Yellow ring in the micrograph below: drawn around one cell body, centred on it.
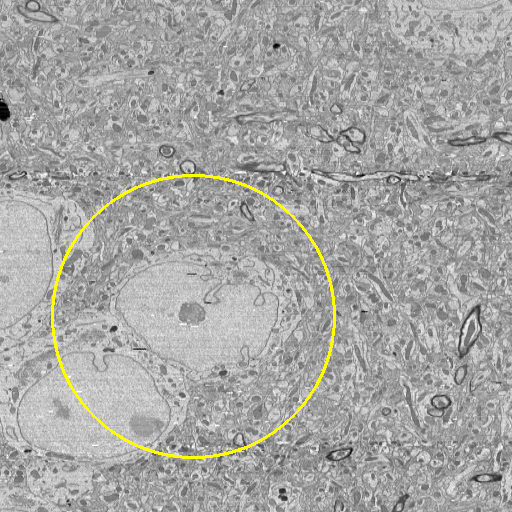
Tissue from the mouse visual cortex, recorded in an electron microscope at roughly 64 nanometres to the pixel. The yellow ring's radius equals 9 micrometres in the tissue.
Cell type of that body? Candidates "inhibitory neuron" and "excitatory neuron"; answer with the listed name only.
inhibitory neuron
